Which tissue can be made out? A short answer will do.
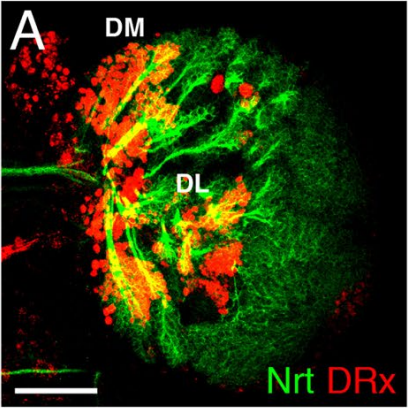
Larval brain hemisphere.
